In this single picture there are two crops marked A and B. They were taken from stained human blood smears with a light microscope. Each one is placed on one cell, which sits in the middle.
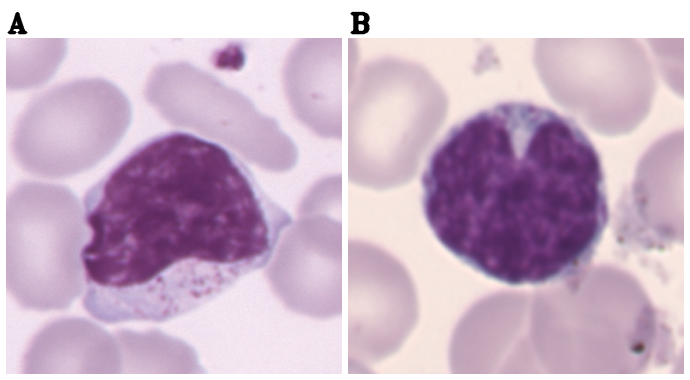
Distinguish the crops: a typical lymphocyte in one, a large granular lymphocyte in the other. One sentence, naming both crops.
The cell in crop A is a large granular lymphocyte, whereas the cell in crop B is a typical lymphocyte.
